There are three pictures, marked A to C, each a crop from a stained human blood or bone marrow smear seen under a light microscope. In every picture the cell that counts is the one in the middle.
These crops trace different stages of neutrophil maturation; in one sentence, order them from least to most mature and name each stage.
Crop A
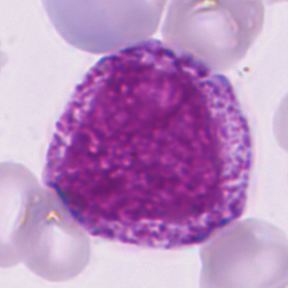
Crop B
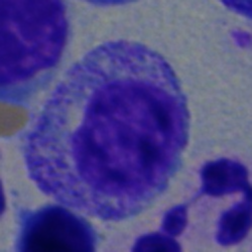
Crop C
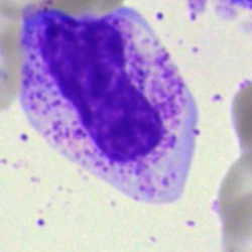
Reading from least to most mature, the order comes out as crop A (a promyelocyte), crop B (a myelocyte) and crop C (a metamyelocyte).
